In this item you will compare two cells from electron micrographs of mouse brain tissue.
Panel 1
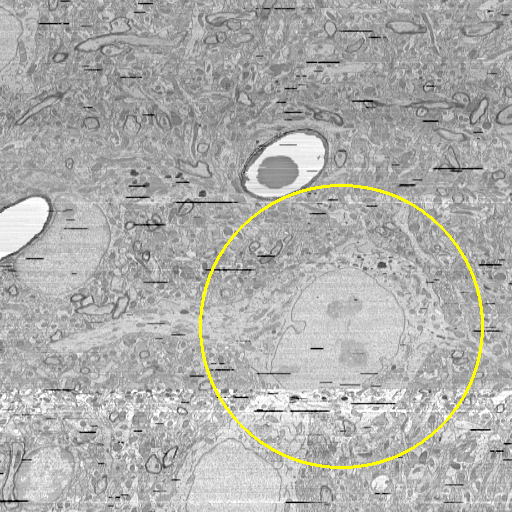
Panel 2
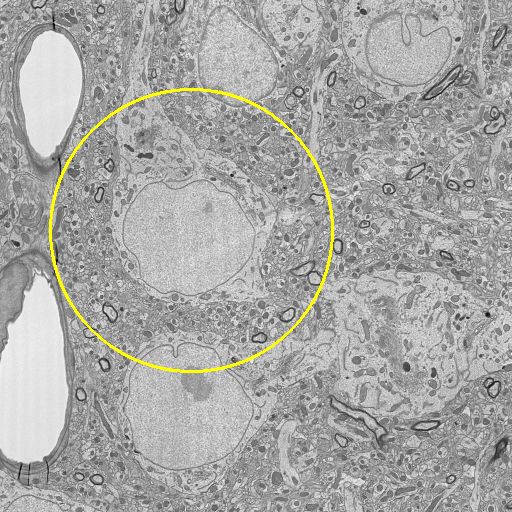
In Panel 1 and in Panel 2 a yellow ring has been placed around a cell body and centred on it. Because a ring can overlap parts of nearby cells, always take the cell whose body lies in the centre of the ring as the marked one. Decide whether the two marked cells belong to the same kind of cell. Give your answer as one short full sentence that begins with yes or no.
Yes, the two marked cells belong to the same kind of cell.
